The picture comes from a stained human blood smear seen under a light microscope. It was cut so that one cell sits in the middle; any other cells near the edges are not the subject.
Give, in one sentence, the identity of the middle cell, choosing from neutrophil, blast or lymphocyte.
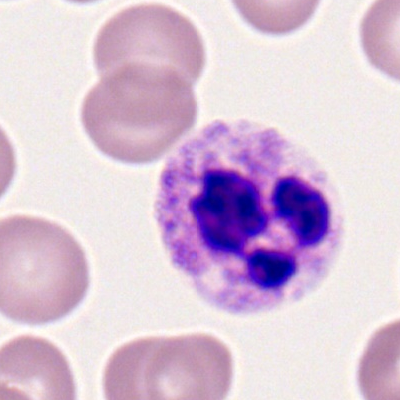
The cell positioned in the middle of the field is a neutrophil.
